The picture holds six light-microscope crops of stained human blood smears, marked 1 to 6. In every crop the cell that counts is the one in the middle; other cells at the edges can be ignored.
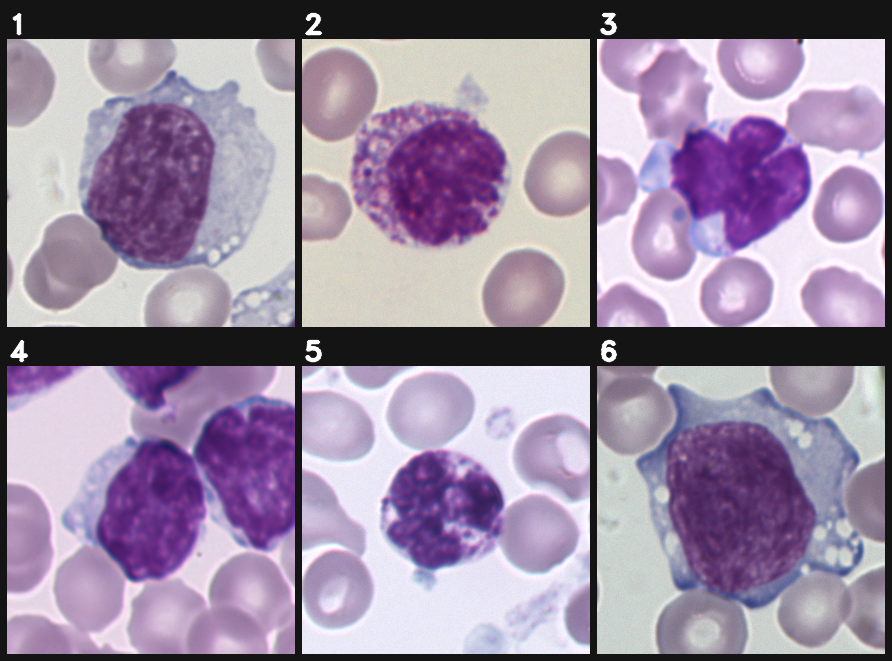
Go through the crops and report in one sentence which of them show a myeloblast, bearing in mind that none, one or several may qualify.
The target cells in crops 1, 3 and 6 are myeloblasts.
